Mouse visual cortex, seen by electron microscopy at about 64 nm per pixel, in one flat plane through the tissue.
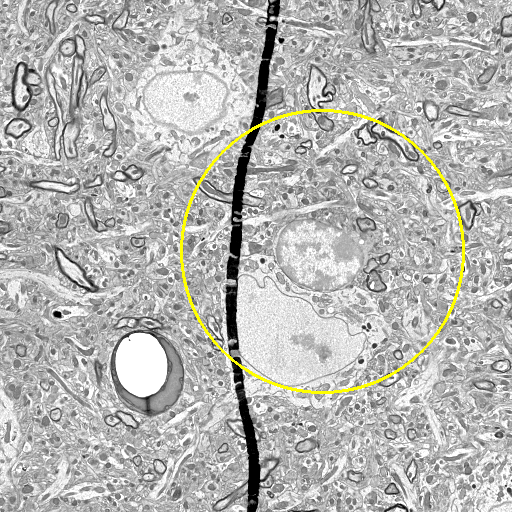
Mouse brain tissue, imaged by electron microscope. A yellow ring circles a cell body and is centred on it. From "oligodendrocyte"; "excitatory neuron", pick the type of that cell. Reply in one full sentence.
The cell body at the centre of the yellow ring belongs to an oligodendrocyte.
